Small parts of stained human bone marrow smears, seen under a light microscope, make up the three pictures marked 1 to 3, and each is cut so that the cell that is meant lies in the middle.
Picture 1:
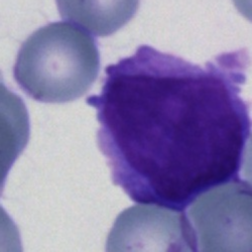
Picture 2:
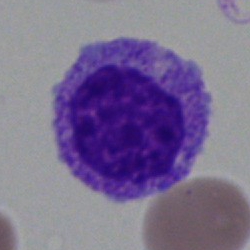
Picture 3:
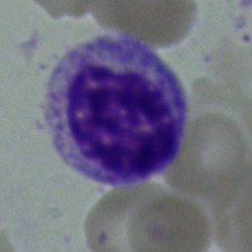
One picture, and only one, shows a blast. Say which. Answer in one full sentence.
The blast is the one in picture 1.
